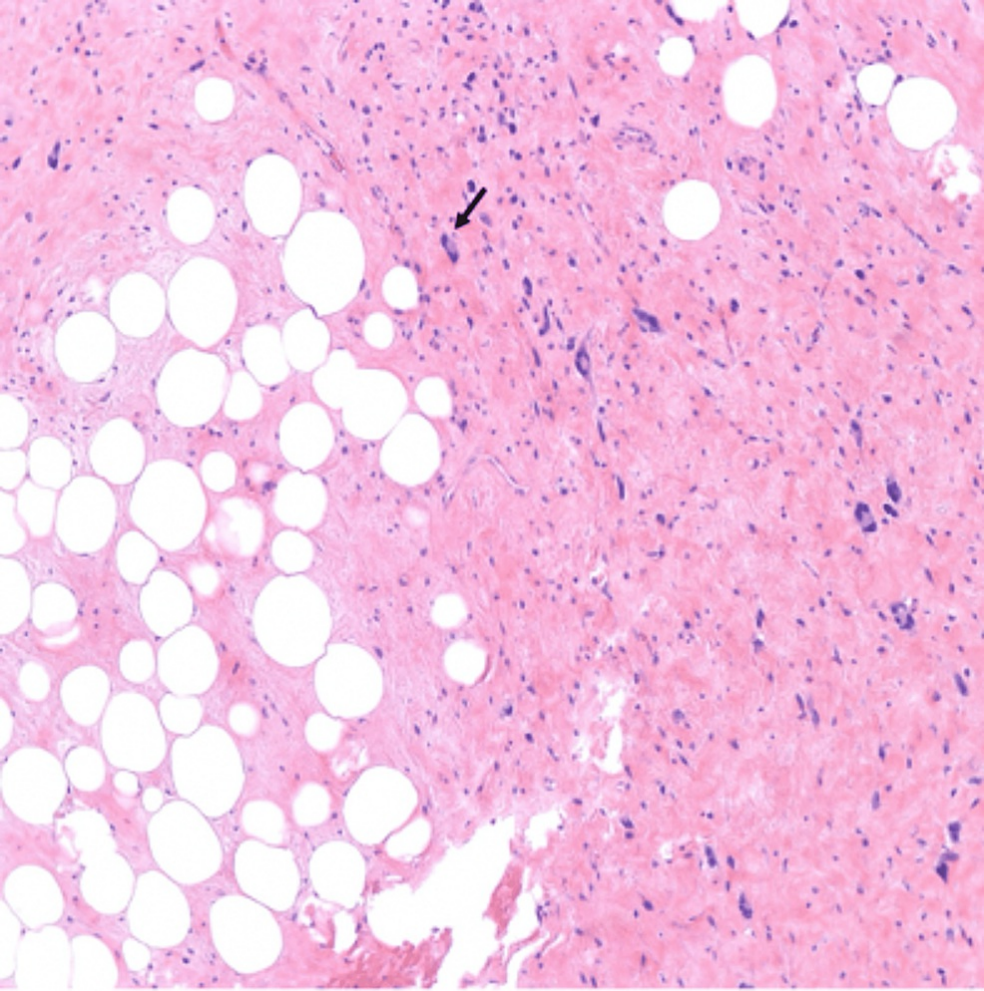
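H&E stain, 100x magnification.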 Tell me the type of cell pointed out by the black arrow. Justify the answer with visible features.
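Spindle cells with enlarged, hyperchromatic nuclei. The arrowed cell has an elongated, dark purple nucleus. Its nucleus is larger and darker than most stromal nuclei around it. Other scattered large, very dark, irregular nuclei lie in the pink stroma on the right.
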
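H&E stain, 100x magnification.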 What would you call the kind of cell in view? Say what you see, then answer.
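The left part is filled with round, empty white vacuoles. The vacuoles differ clearly in diameter. Thin pink septa separate the vacuoles. So: variably sized mature adipocytes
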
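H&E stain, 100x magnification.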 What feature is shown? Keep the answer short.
Bands of fibrotic stroma.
